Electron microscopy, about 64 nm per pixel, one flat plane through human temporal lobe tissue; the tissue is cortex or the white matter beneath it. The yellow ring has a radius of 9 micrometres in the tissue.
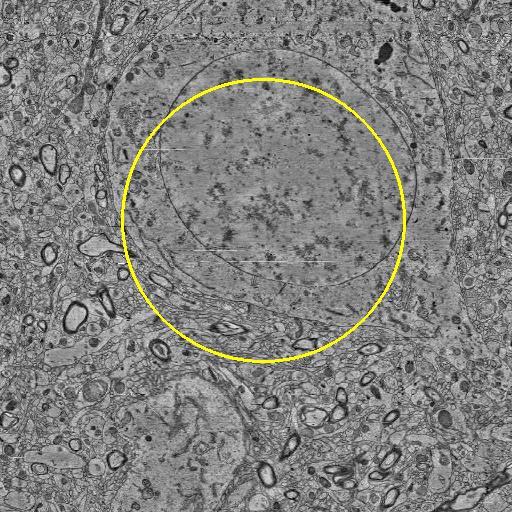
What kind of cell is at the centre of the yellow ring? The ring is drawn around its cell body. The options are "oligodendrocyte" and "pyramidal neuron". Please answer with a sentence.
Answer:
The yellow ring marks the cell body of a pyramidal neuron.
